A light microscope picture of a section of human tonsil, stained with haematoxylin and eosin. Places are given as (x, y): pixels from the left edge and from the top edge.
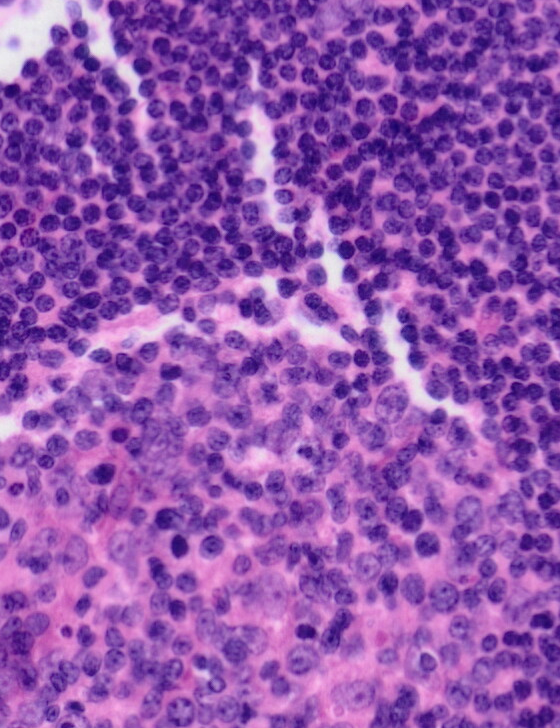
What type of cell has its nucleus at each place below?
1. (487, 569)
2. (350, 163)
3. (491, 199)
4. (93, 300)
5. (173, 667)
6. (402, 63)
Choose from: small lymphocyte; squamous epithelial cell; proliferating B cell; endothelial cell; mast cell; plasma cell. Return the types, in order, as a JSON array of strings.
["proliferating B cell", "small lymphocyte", "small lymphocyte", "small lymphocyte", "proliferating B cell", "small lymphocyte"]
